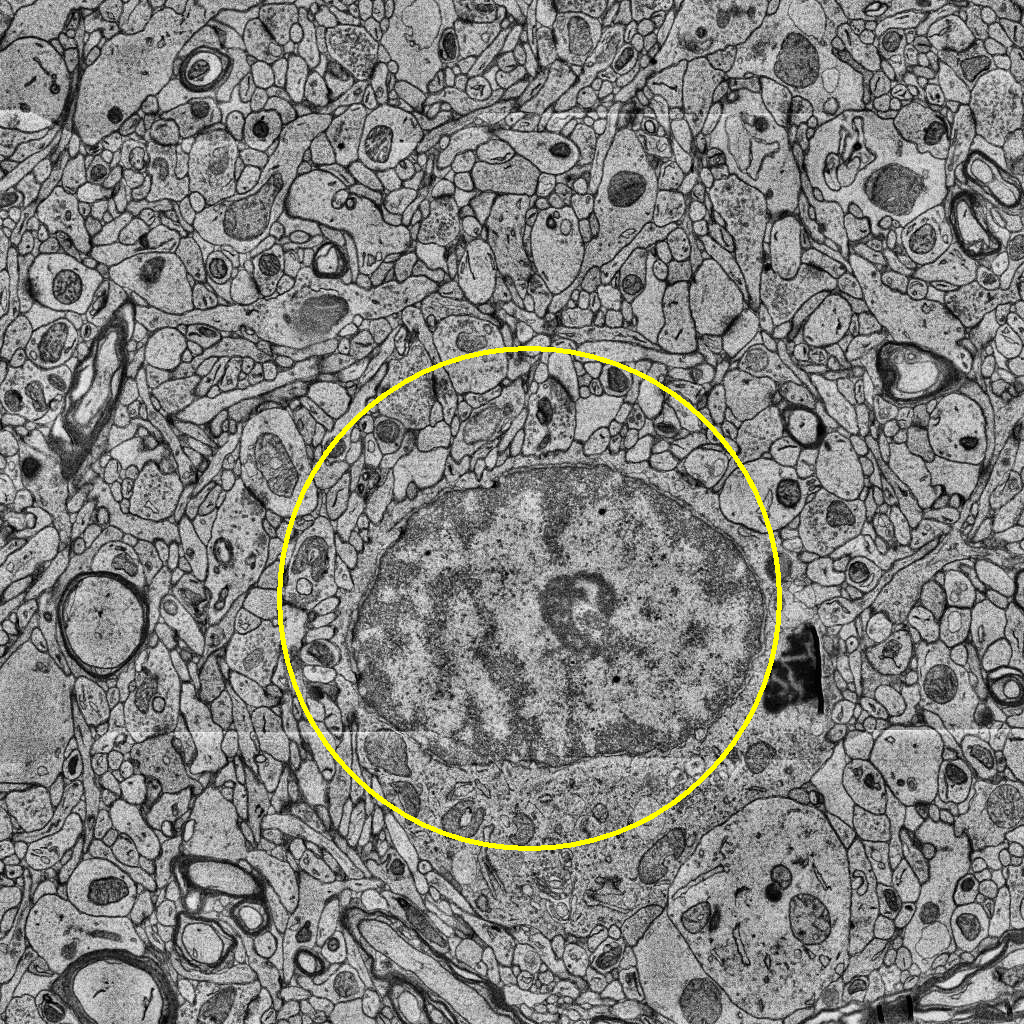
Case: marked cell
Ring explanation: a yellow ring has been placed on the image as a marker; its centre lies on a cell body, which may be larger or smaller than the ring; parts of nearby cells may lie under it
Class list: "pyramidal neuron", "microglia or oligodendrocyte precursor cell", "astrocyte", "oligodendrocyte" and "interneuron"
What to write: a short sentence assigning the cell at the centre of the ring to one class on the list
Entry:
The cell at the ring's centre is an oligodendrocyte.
